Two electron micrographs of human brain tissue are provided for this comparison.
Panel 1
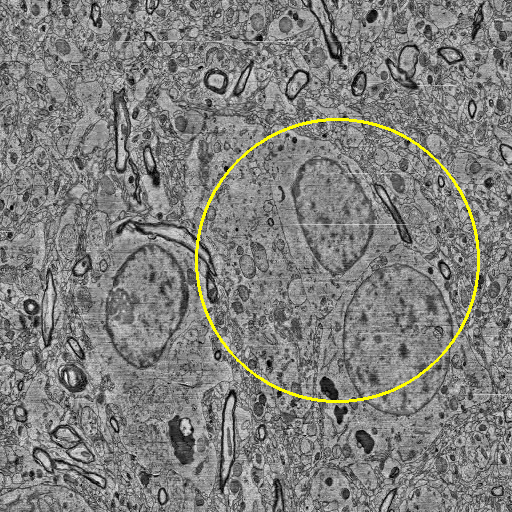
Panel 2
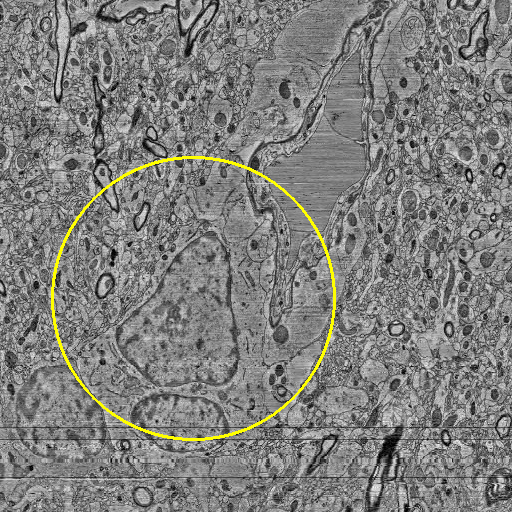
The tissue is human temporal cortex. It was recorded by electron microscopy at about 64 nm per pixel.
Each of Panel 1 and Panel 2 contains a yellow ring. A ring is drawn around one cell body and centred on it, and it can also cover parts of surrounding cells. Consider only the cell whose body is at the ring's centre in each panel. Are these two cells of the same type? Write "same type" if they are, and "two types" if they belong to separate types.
same type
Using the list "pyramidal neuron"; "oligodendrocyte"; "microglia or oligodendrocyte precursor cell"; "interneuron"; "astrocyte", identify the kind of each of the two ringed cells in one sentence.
The ring centre holds a microglial cell or oligodendrocyte precursor cell in each of the two pictures.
